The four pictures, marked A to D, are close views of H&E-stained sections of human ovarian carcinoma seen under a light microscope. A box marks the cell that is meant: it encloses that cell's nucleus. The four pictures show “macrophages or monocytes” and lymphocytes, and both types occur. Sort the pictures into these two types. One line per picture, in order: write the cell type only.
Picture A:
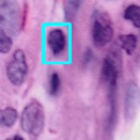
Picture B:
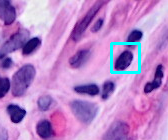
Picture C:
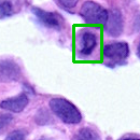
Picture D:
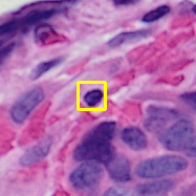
lymphocyte
lymphocyte
macrophage or monocyte
lymphocyte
